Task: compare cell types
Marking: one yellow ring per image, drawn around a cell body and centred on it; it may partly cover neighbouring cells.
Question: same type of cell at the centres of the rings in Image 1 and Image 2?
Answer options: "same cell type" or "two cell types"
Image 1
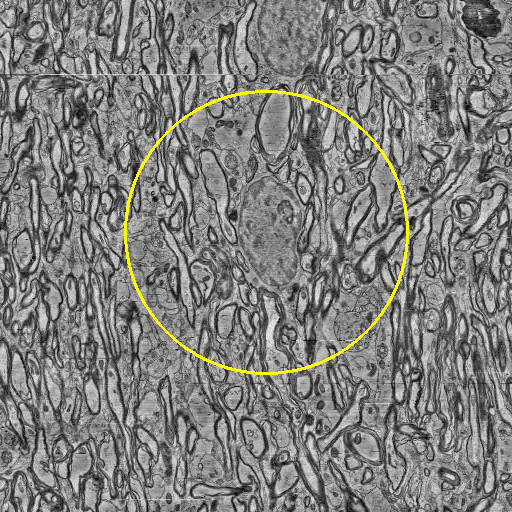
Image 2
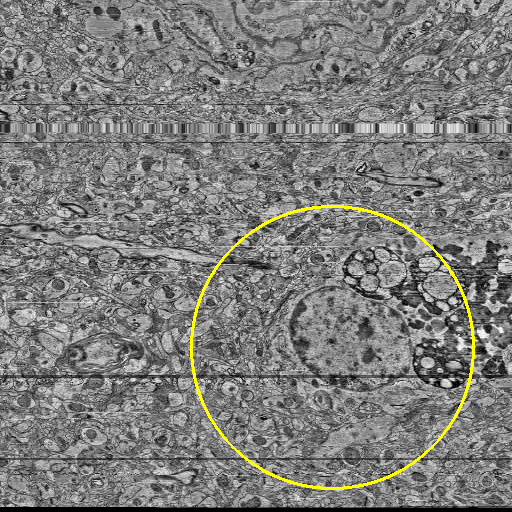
two cell types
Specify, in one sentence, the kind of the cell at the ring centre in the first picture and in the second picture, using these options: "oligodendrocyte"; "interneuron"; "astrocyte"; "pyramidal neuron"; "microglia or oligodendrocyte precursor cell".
So the first is an oligodendrocyte, the second an astrocyte.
